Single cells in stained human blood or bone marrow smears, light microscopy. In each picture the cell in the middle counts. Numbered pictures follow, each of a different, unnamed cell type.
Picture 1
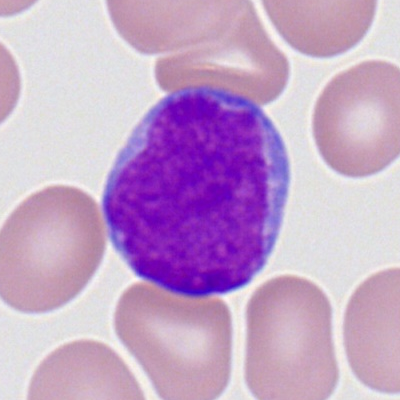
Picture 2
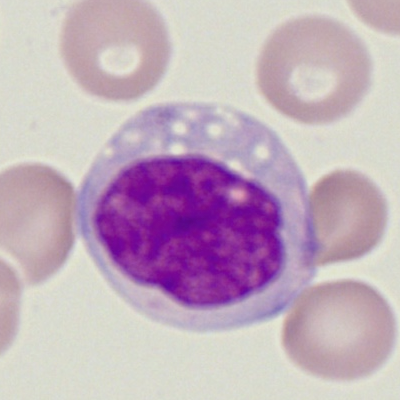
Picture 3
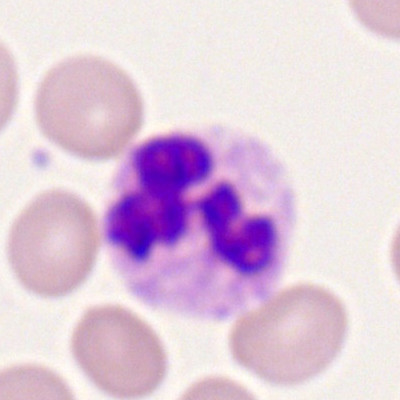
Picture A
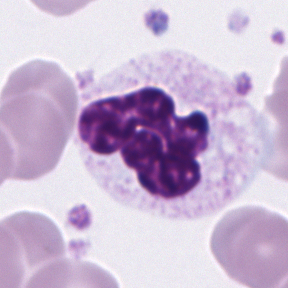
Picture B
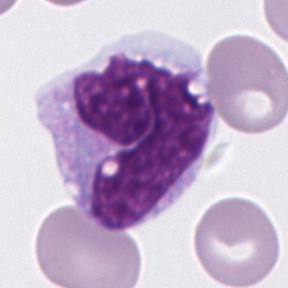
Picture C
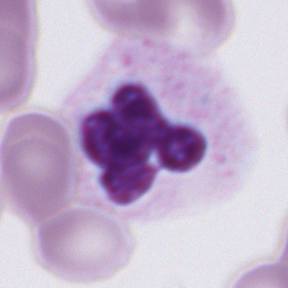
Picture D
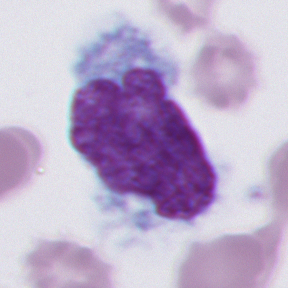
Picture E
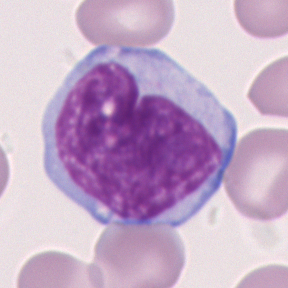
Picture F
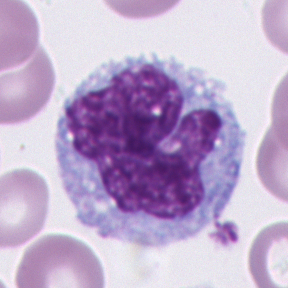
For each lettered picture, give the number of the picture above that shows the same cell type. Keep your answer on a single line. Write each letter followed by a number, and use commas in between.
A 3, B 2, C 3, D 2, E 1, F 2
